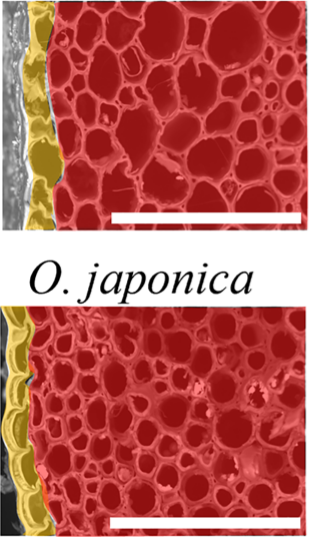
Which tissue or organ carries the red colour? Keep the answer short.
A: Subepidermal cortex.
